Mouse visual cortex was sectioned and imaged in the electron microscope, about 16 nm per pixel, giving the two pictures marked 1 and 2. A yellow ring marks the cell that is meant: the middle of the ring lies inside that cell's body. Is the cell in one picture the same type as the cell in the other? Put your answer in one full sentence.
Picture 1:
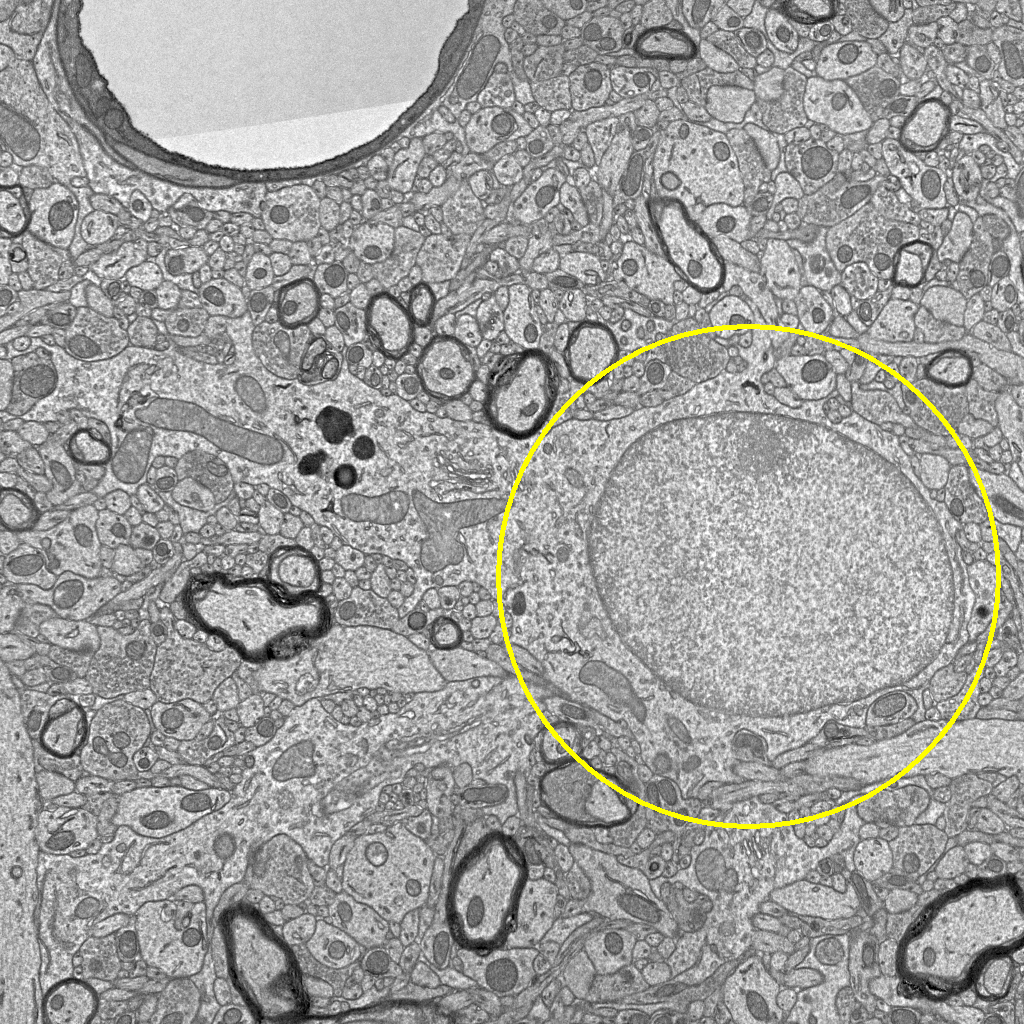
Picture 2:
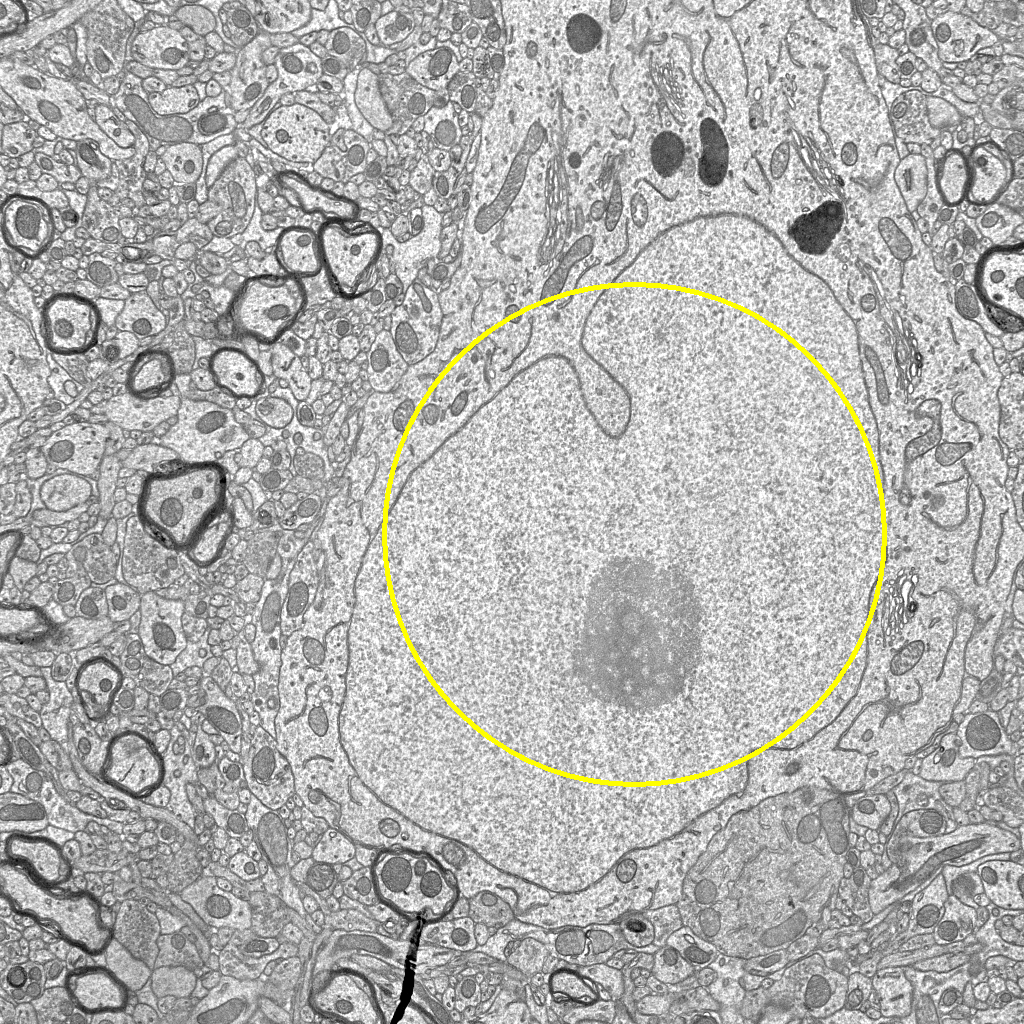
No, they differ: the cell is an astrocyte in picture 1 and an excitatory neuron in picture 2.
